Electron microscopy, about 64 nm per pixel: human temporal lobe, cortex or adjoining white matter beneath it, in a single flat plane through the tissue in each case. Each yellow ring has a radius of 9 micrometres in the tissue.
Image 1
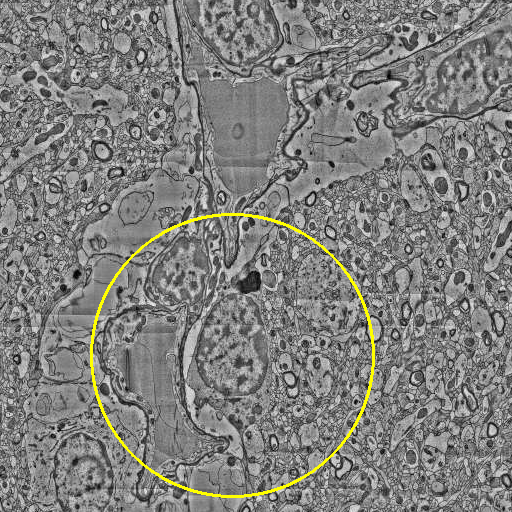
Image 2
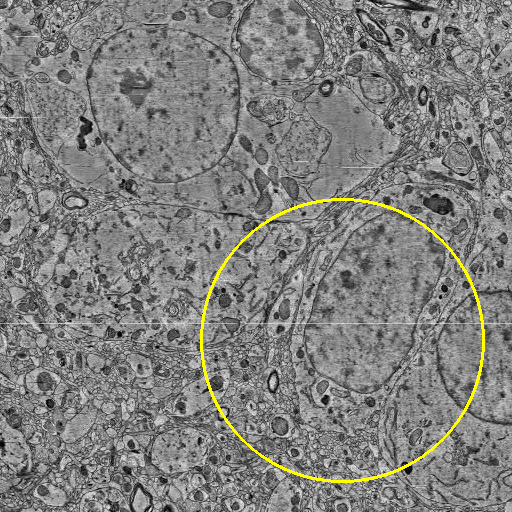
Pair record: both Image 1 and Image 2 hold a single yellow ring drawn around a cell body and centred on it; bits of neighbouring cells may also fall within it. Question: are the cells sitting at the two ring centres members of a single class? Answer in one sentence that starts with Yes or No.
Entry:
No, the ring-centre cells in Image 1 and Image 2 come from two classes.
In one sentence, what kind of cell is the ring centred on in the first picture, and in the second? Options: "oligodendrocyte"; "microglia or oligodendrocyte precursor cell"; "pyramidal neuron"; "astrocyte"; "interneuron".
The cell at the centre of the second ring is an interneuron; the first ring's cell is an oligodendrocyte.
